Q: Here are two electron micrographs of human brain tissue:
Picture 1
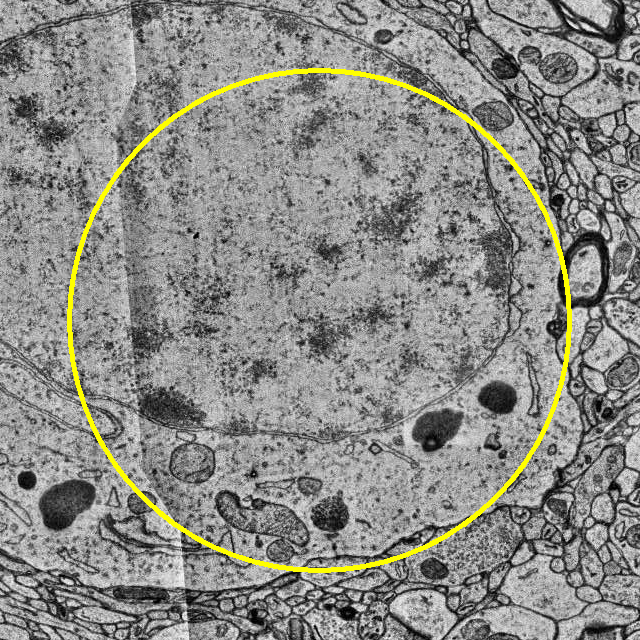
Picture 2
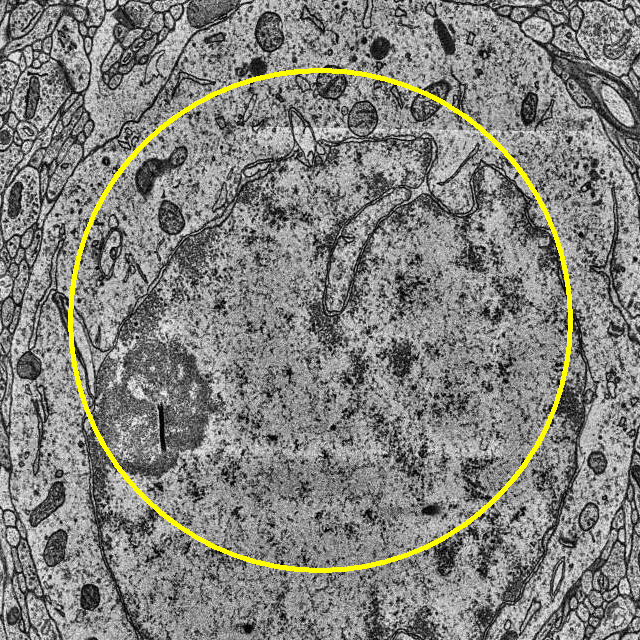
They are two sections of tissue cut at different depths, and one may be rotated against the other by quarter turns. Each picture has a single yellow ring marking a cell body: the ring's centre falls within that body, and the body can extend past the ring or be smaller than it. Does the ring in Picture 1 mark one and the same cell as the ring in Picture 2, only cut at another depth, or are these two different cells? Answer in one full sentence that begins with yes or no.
No, one ring and the other ring mark two distinct cells.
